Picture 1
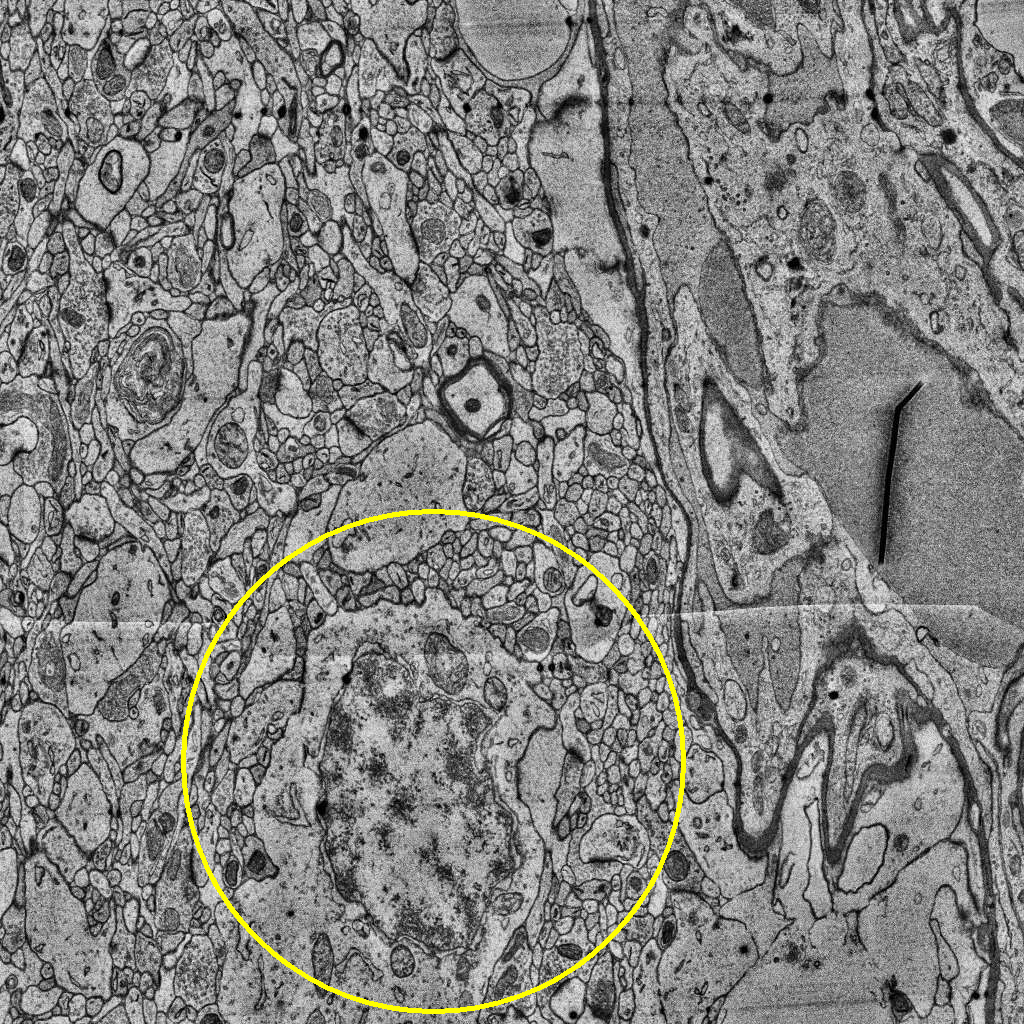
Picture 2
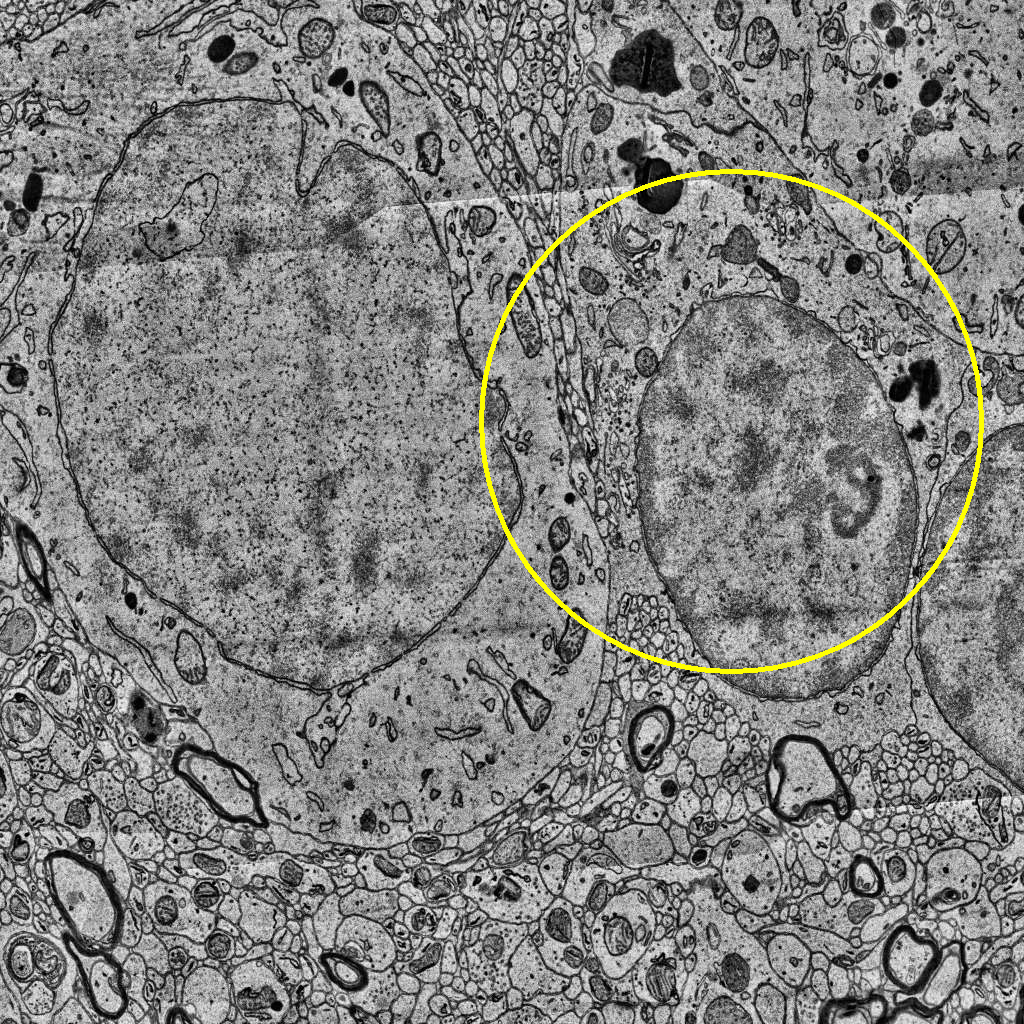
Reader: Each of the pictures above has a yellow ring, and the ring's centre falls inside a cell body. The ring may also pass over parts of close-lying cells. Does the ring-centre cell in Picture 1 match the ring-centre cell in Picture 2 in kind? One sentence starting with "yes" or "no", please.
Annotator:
No, Picture 1 and Picture 2 show ring-centre cells of two kinds.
